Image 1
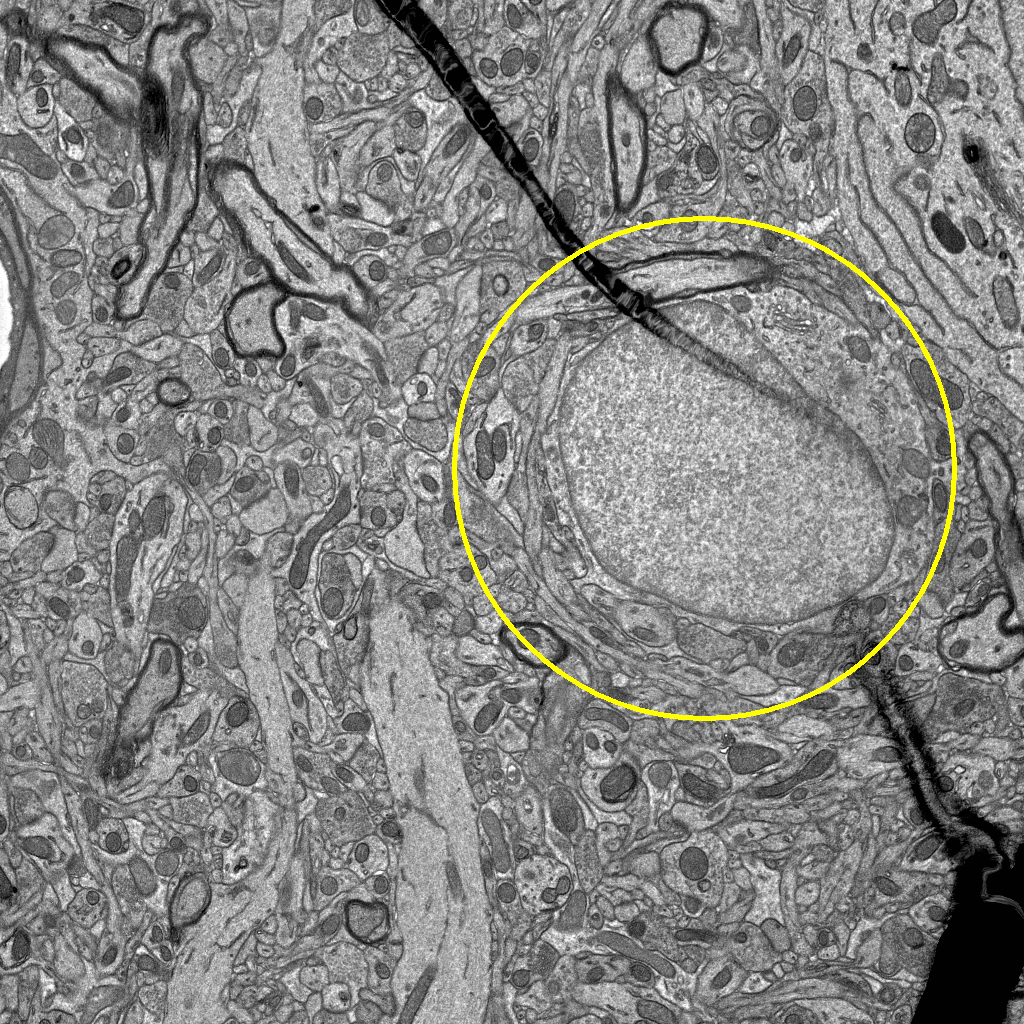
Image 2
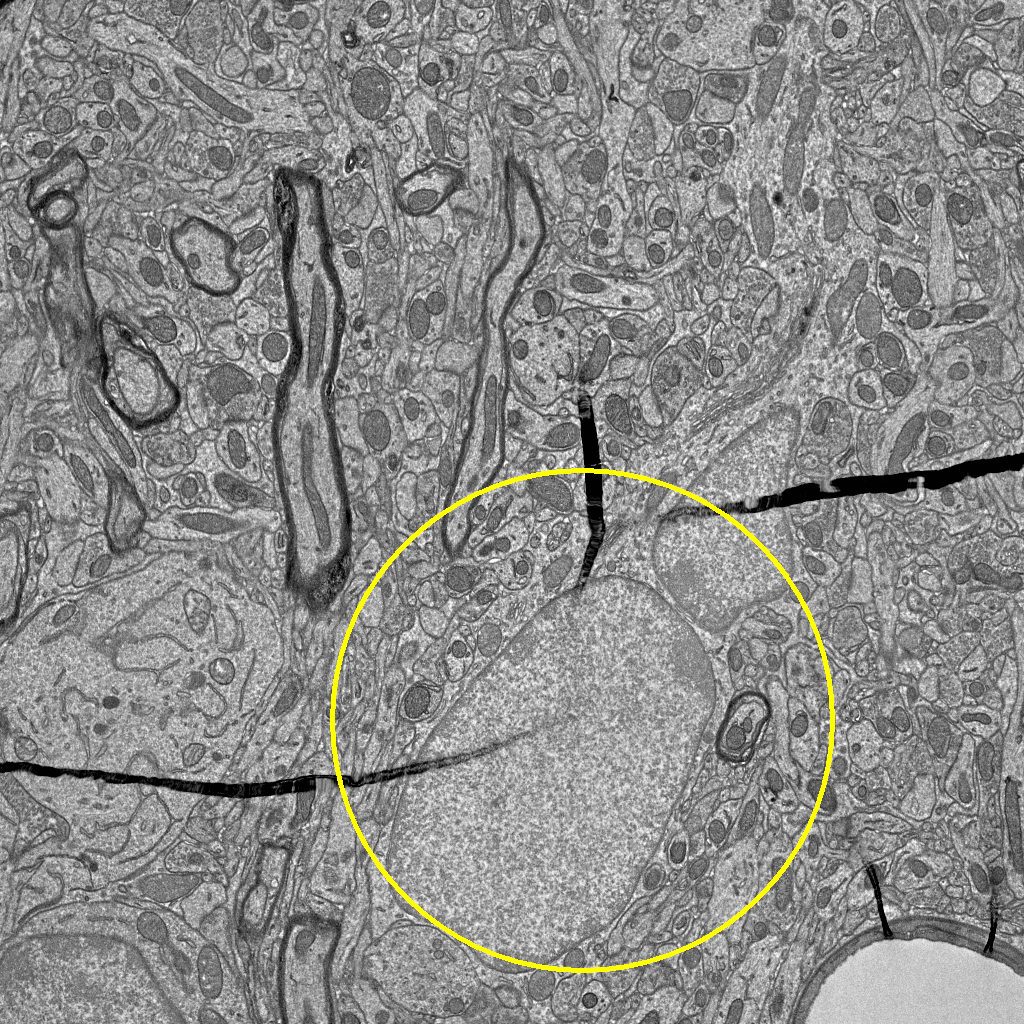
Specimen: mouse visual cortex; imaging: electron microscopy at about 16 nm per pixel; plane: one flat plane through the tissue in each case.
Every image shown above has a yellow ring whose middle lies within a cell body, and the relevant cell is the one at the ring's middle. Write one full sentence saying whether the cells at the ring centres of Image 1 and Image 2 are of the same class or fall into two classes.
The cell at the ring's centre in Image 1 and its counterpart in Image 2 are of the same class.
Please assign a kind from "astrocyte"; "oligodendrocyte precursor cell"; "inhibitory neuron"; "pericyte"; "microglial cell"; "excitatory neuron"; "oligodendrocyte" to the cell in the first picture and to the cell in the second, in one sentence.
Each of the two pictures has an astrocyte at the ring centre.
